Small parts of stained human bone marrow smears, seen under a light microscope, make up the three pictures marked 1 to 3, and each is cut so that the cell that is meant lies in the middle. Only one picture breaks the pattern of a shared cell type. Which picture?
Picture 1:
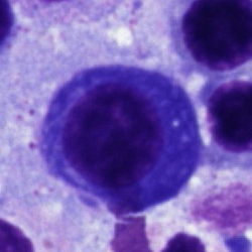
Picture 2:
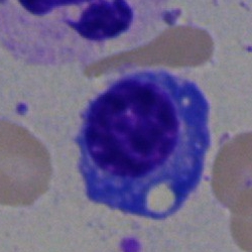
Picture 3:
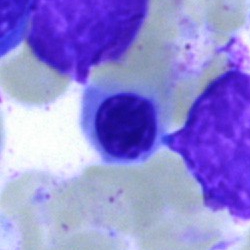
3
